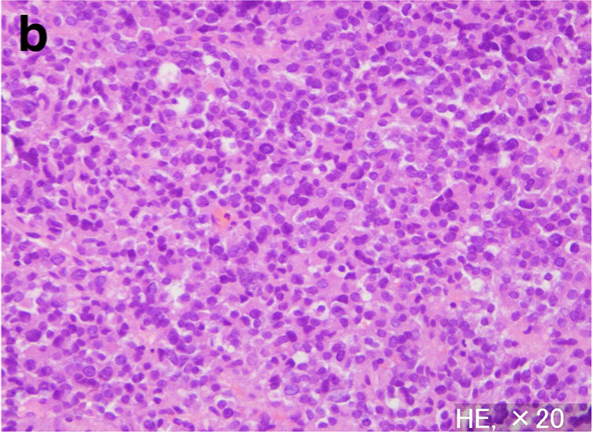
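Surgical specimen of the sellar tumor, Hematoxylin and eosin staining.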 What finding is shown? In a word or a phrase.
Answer: diffuse cell arrangement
